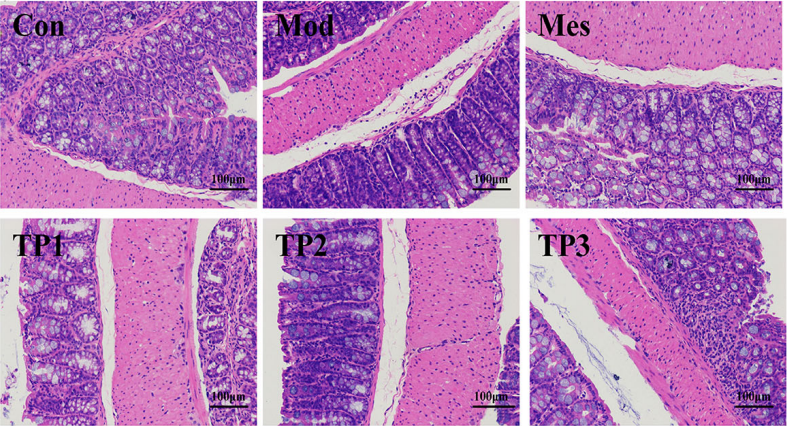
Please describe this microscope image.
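Sections of colon wall show a mucosa of closely set, straight crypts lined by purple-staining columnar epithelium with many pale, rounded goblet cells. Beside the mucosa lies a broad band of pink smooth muscle with scattered elongated nuclei. In some fields the tissue between the crypts holds dense clusters of small dark nuclei, consistent with inflammatory cell infiltration.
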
